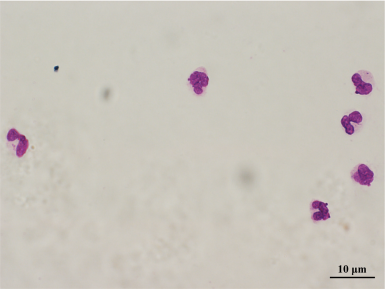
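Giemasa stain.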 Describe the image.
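Isolated neutrophils are seen scattered singly on a pale background. Each cell is small and roundish, with a deep purple nucleus split into several lobes. A narrow rim of pale pinkish cytoplasm surrounds the nucleus, and the cells lie well apart from one another.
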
